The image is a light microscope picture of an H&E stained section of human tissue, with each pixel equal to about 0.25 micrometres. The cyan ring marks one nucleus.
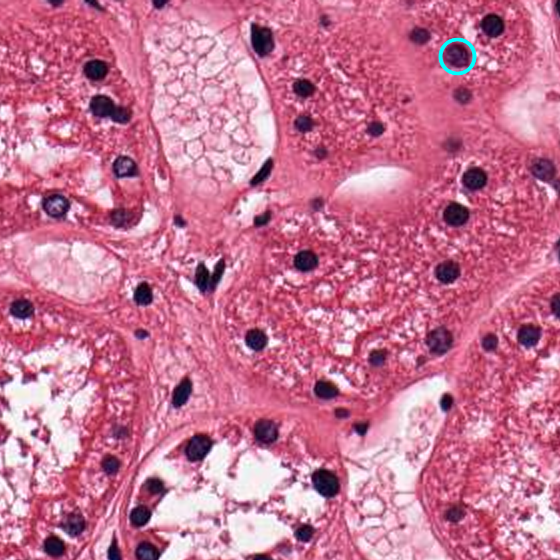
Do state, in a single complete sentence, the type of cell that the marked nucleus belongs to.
Here the marked nucleus is part of a proximal tubule cell.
